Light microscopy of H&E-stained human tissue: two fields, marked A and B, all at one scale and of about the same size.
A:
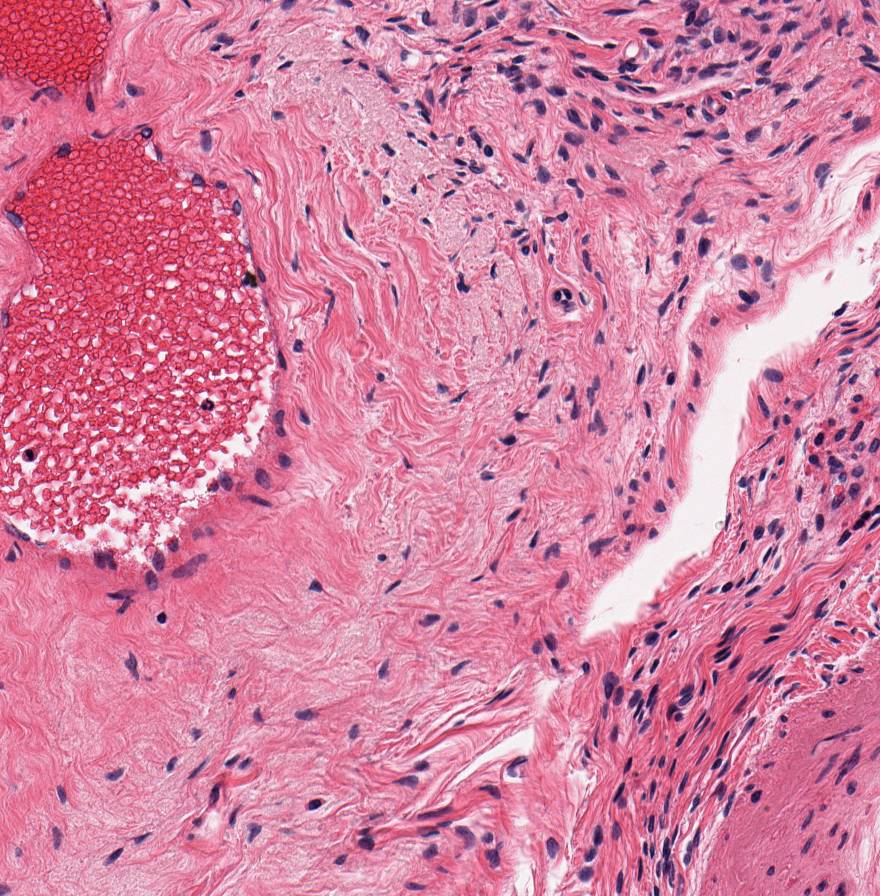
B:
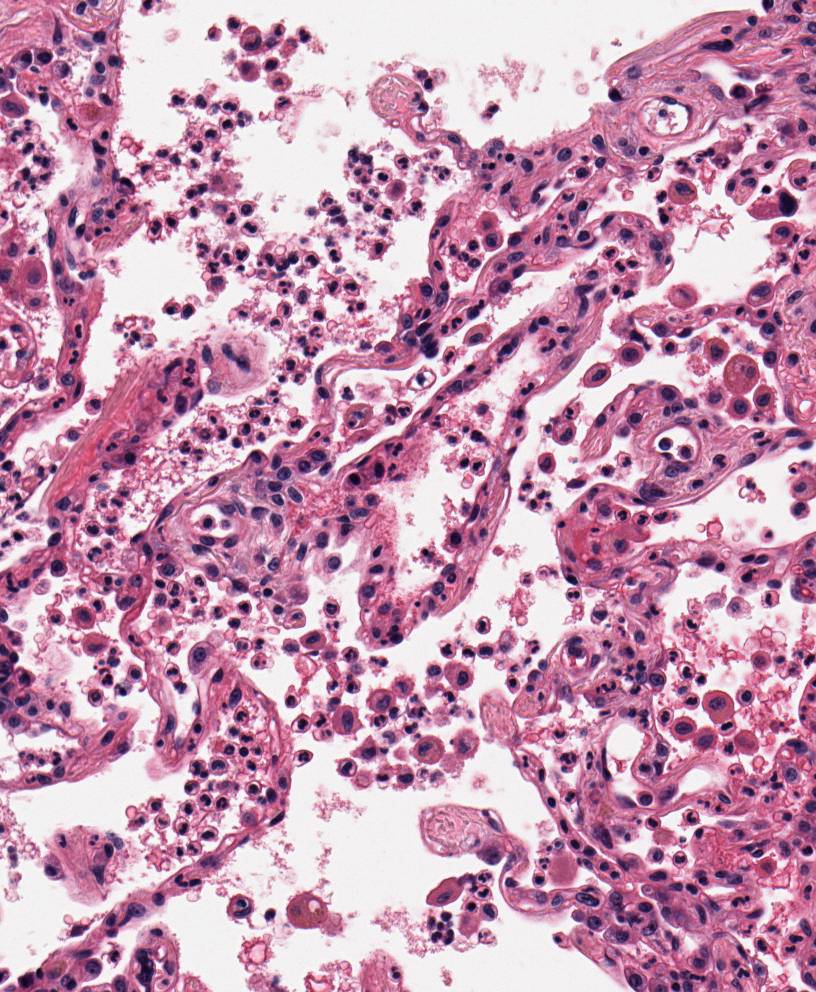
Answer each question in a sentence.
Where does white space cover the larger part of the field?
It is field B in which white space covers the larger part.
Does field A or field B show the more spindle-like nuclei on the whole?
On the whole the nuclei of field A are more drawn out than those of field B.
